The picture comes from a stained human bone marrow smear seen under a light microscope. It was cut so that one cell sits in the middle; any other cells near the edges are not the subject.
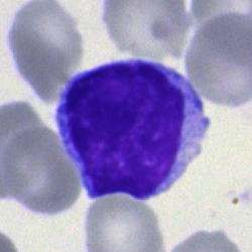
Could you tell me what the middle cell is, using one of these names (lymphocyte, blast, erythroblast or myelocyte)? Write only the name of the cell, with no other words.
lymphocyte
